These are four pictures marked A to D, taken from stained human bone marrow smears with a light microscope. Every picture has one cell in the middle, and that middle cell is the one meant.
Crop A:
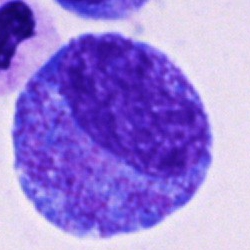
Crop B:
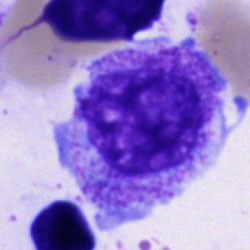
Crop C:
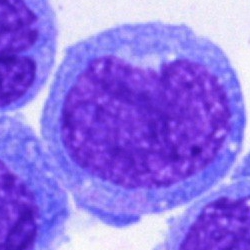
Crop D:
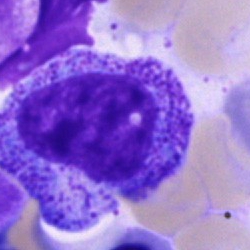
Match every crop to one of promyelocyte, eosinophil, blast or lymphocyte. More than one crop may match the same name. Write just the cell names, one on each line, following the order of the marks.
promyelocyte
promyelocyte
blast
promyelocyte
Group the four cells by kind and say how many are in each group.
promyelocyte: 3
blast: 1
